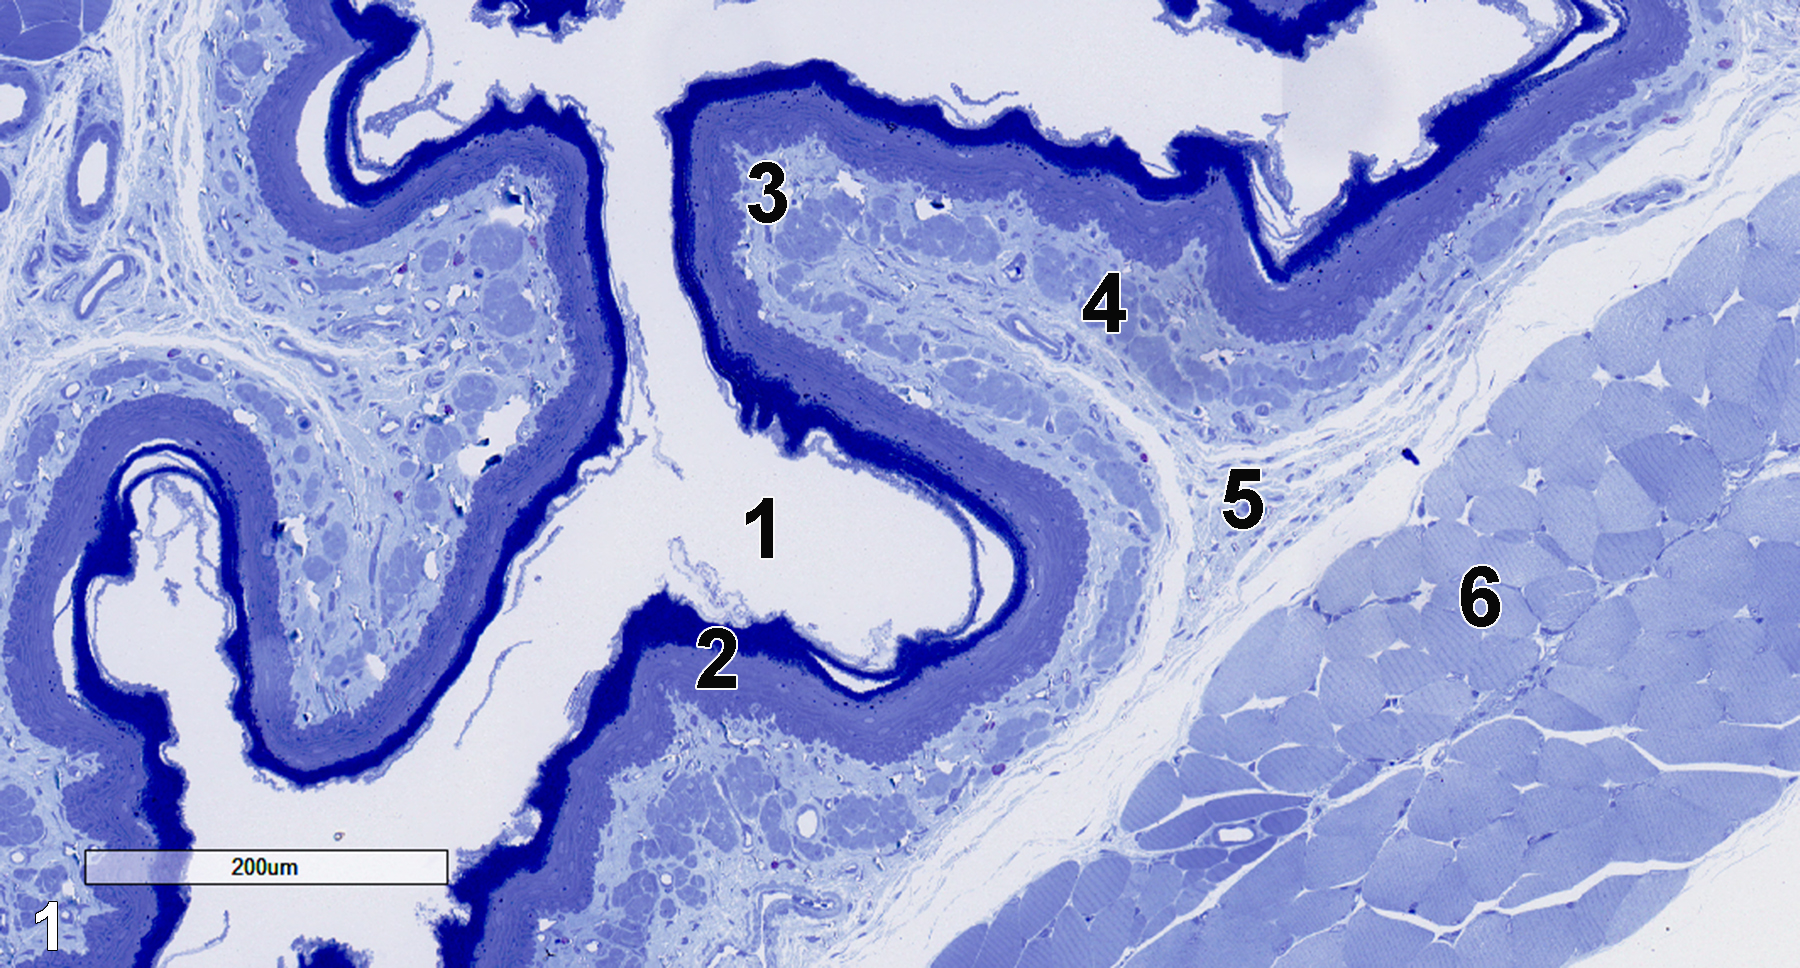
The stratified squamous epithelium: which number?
2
